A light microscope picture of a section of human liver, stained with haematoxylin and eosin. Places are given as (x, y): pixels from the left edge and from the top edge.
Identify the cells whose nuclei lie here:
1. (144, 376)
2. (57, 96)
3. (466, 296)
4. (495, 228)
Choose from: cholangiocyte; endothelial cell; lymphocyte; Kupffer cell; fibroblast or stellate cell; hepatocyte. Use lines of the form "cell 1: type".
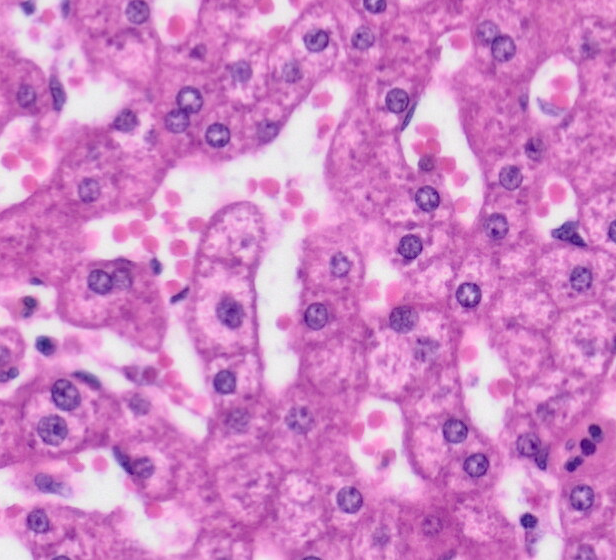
cell 1: Kupffer cell
cell 2: Kupffer cell
cell 3: hepatocyte
cell 4: hepatocyte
